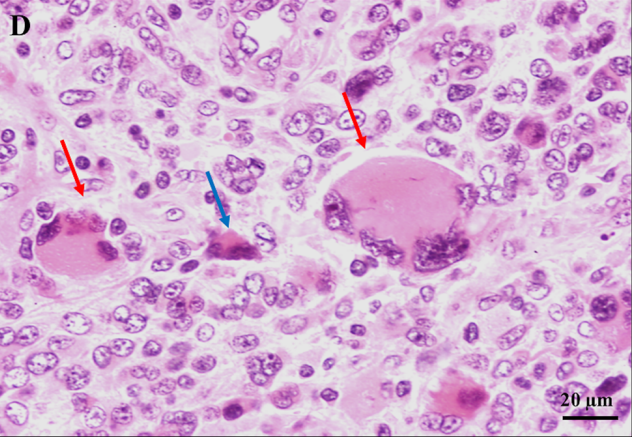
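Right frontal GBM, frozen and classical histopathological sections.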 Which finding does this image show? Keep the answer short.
Increased cellularity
